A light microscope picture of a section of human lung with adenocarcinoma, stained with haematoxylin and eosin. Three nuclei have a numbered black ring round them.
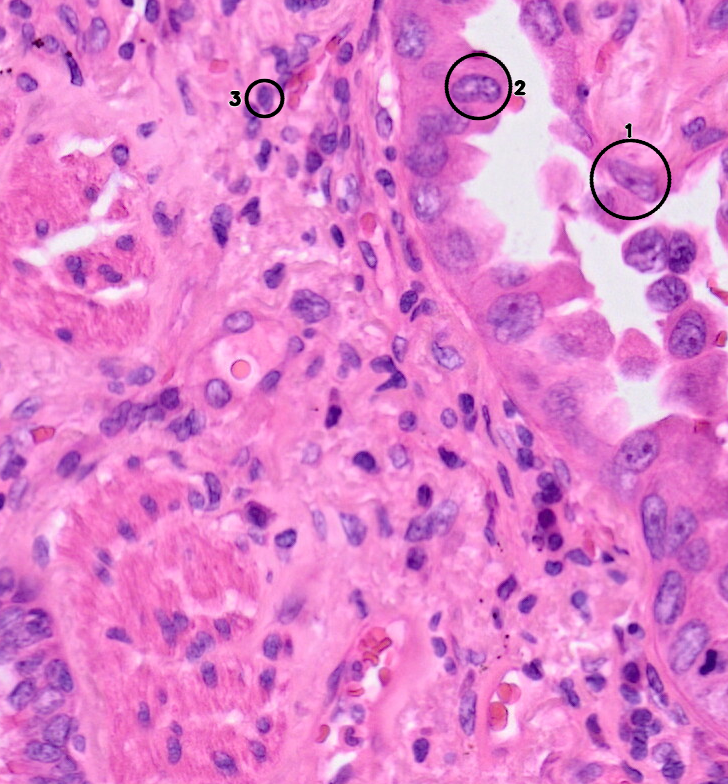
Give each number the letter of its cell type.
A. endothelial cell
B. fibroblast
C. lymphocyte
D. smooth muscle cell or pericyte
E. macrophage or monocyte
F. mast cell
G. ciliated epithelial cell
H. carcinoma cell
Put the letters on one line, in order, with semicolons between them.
H; H; C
